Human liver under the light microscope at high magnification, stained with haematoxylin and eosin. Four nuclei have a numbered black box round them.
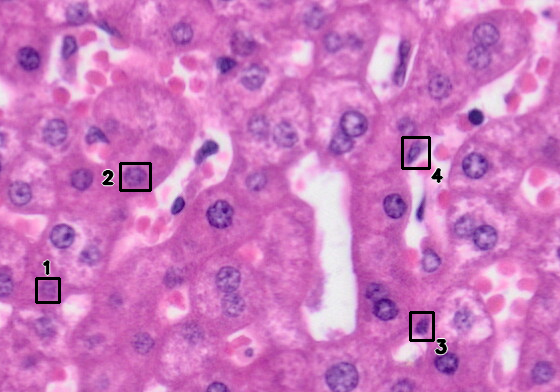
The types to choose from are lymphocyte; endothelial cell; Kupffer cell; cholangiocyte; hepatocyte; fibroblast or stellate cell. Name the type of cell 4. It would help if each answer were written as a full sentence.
Identified as an endothelial cell is the cell bearing the number 4.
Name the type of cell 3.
Number 3 among the marked cells is a fibroblast or stellate cell.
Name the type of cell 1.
The correct answer for cell 1 is a hepatocyte.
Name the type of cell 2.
The cell indicated by marker 2 is a hepatocyte in this section.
